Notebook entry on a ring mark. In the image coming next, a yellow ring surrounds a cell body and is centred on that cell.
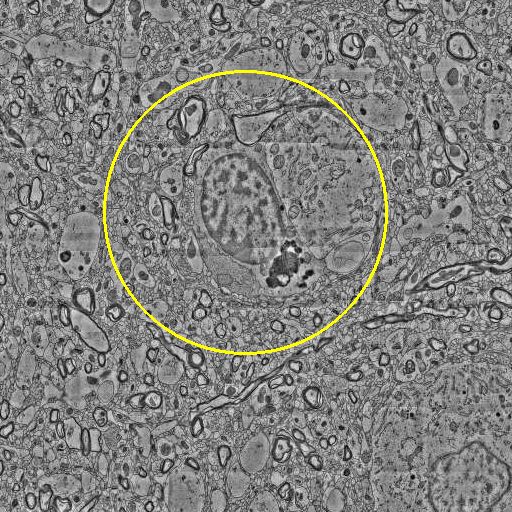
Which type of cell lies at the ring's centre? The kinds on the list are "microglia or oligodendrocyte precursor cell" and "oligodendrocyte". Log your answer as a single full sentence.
Centred in the yellow ring is an oligodendrocyte, the cell recorded for this image.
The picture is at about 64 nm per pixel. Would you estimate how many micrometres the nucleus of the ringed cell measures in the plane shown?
The nucleus works out at approximately 7 by 5 micrometres in this plane.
